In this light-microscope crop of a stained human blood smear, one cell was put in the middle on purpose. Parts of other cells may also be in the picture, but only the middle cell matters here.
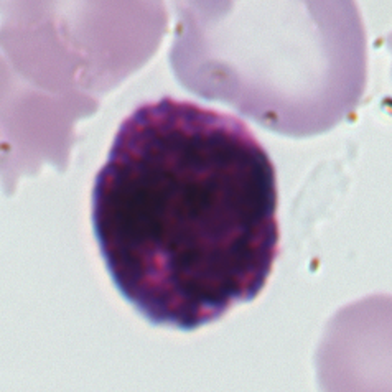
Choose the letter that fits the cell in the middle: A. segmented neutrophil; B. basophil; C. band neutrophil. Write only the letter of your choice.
B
